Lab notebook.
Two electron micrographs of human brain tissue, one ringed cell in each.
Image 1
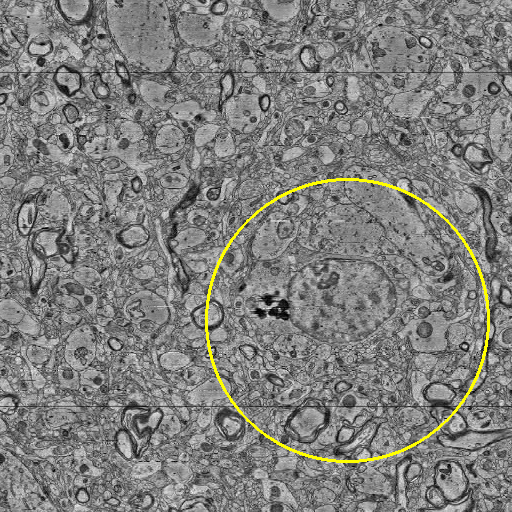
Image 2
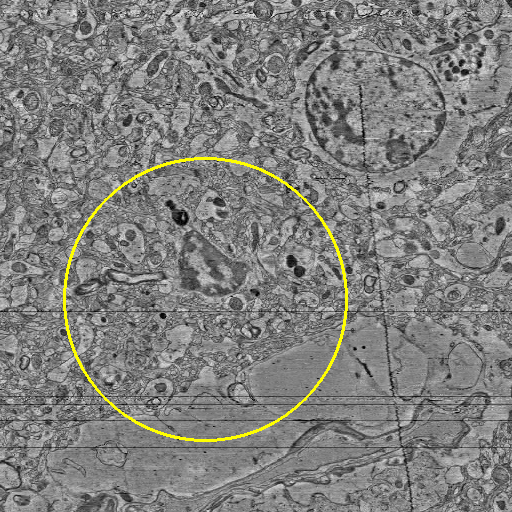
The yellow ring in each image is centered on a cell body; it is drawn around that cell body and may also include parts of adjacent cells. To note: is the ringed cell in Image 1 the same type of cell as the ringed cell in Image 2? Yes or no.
no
